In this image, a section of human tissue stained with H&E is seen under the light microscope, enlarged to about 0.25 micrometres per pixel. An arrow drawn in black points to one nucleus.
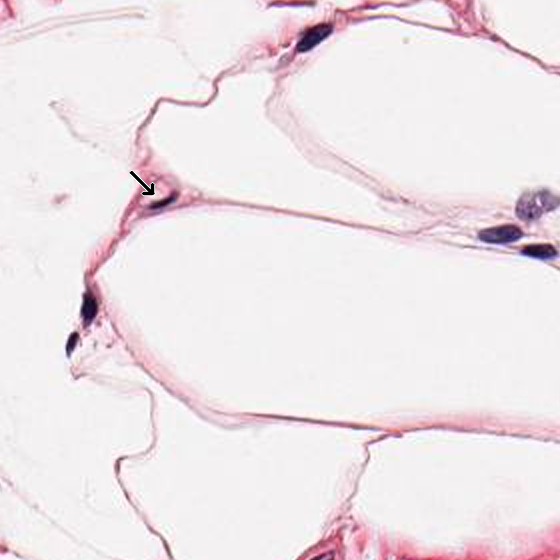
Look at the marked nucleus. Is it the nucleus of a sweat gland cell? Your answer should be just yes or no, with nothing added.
no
